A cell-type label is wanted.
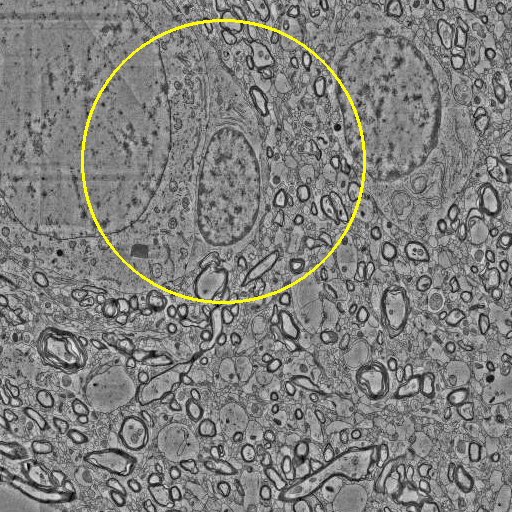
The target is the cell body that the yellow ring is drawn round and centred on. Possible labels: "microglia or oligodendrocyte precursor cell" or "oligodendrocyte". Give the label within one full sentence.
Of the labels offered, the cell in the middle of the yellow ring is a microglial cell or oligodendrocyte precursor cell.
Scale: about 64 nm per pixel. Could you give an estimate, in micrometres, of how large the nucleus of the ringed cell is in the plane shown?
The nucleus measures about 7 by 4 micrometres, so it is clearly longer than it is wide in this plane.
